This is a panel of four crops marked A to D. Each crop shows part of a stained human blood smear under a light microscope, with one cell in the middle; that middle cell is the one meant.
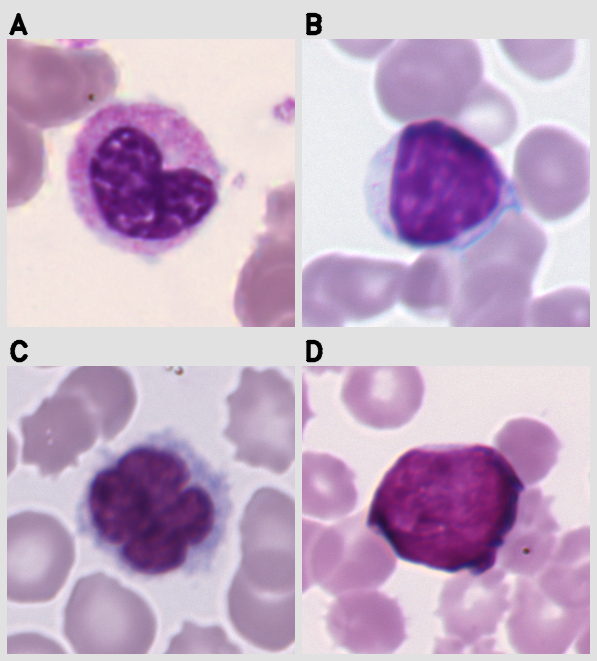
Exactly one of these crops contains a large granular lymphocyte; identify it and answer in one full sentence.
Selected crop: B, which is the one that shows a large granular lymphocyte.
